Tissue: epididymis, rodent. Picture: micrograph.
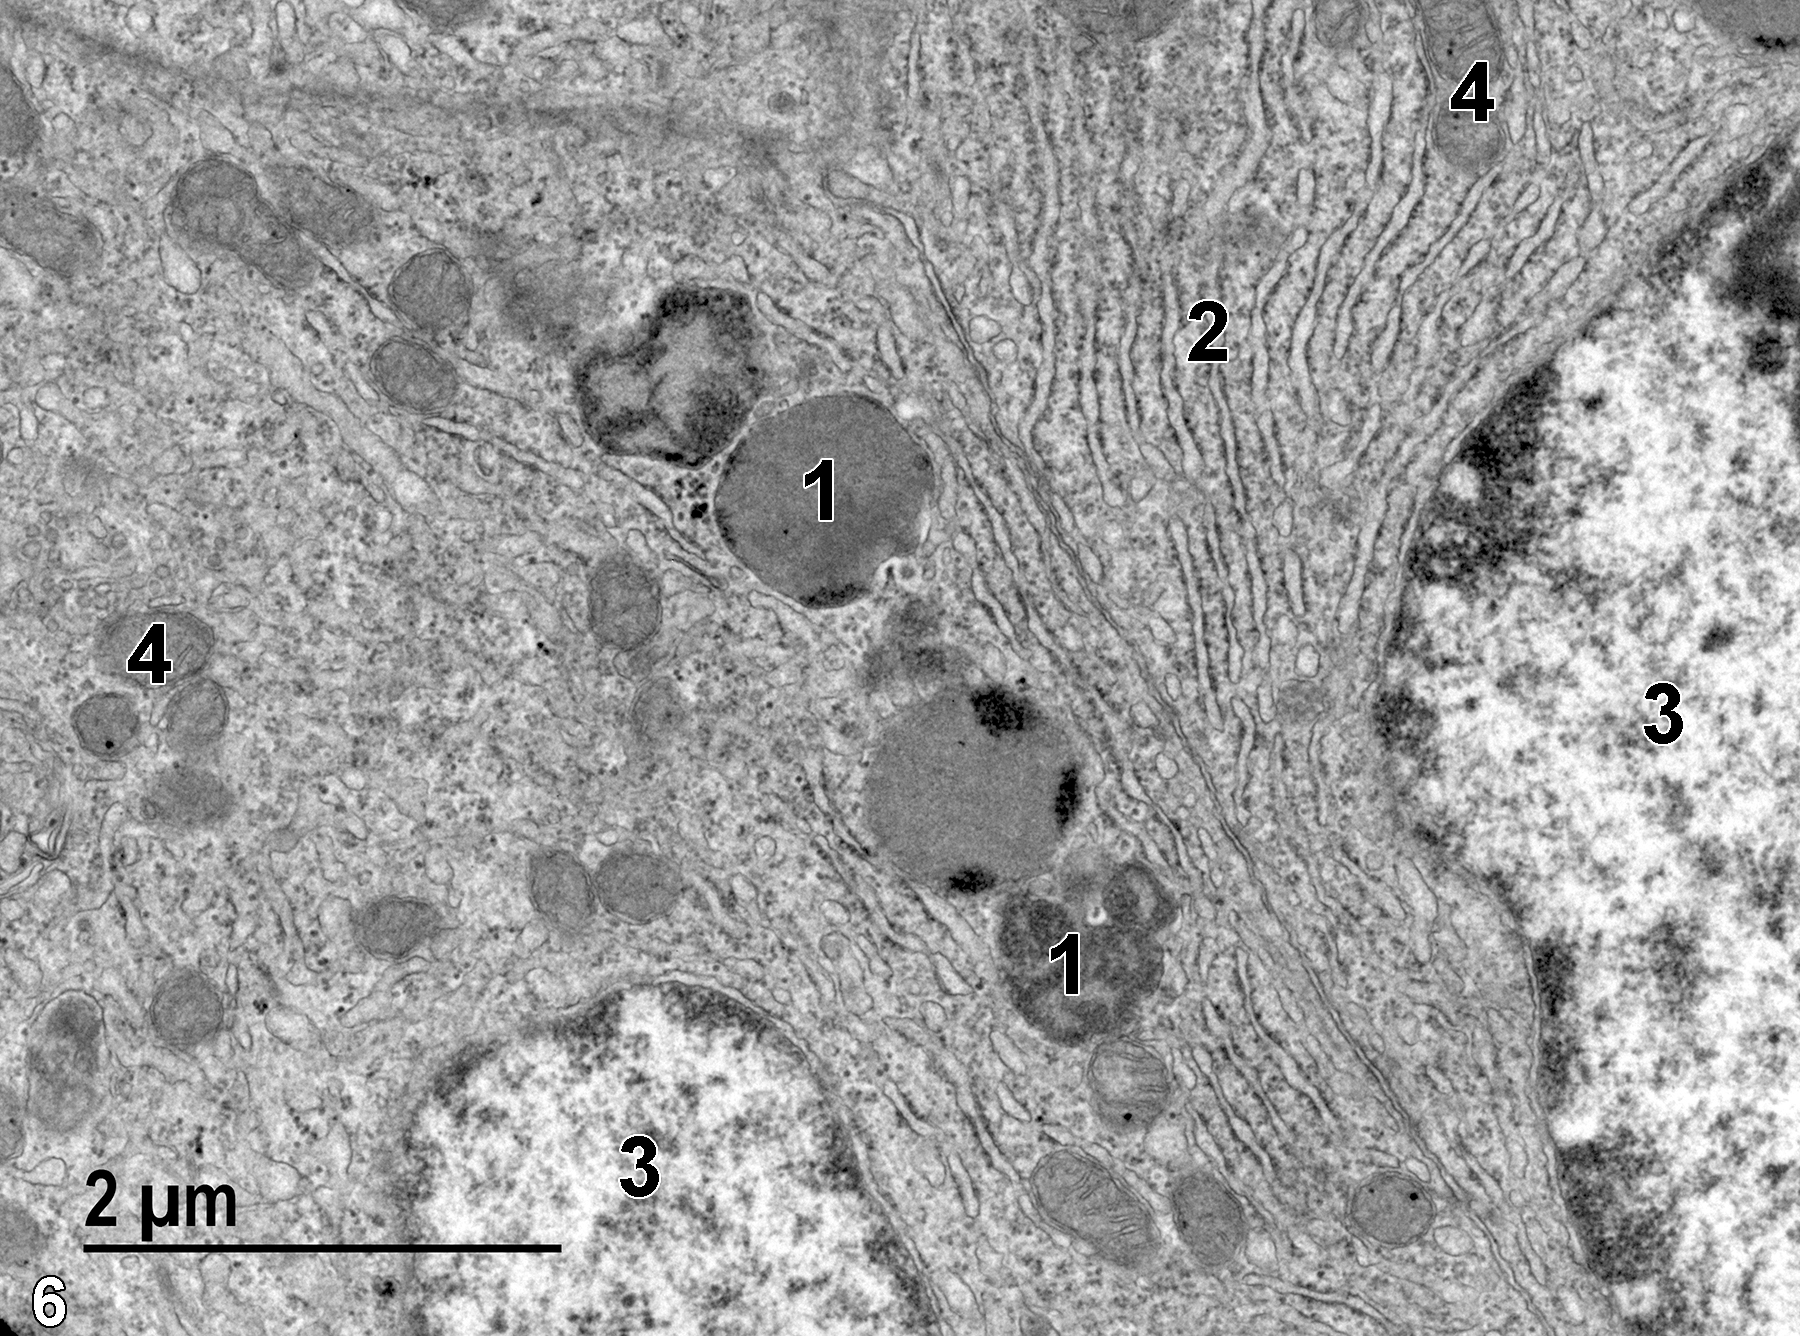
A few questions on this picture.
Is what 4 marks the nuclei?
No: the mitochondria.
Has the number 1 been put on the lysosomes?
Yes, 1 marks the lysosomes.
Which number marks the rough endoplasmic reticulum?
It's 2.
